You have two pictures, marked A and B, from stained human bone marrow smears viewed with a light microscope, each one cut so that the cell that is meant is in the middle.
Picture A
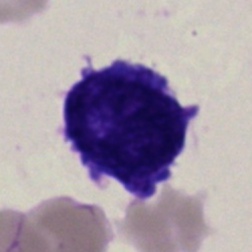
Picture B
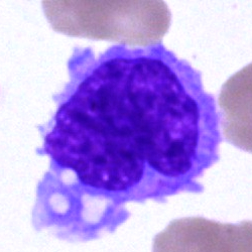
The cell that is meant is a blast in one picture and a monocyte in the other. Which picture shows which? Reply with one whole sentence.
Picture B shows a monocyte, while picture A shows a blast.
